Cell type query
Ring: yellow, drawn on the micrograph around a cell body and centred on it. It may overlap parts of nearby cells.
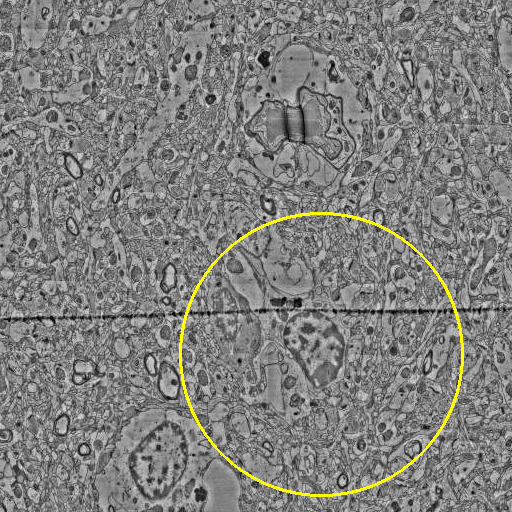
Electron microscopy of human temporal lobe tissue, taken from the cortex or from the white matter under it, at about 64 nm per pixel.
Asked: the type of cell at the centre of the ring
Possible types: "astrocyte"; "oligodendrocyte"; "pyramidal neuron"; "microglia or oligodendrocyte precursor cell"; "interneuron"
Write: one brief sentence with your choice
The ring marks a microglial cell or oligodendrocyte precursor cell.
